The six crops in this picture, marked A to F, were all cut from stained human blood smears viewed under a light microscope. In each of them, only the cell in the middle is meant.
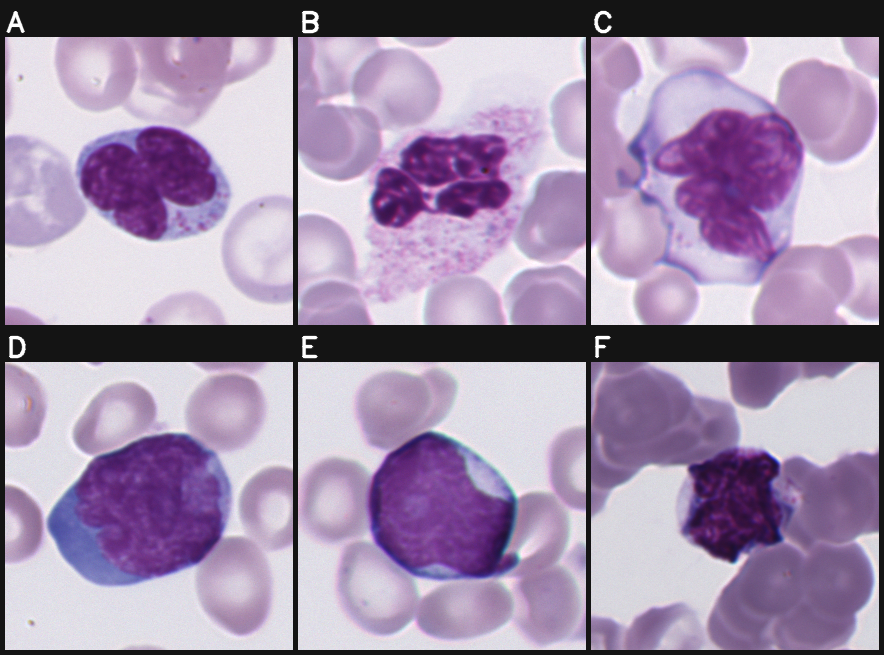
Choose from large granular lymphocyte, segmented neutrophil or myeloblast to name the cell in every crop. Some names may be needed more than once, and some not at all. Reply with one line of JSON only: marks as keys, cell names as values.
{"A": "large granular lymphocyte", "B": "segmented neutrophil", "C": "large granular lymphocyte", "D": "myeloblast", "E": "myeloblast", "F": "myeloblast"}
